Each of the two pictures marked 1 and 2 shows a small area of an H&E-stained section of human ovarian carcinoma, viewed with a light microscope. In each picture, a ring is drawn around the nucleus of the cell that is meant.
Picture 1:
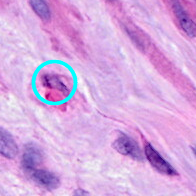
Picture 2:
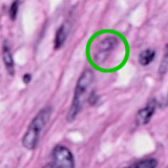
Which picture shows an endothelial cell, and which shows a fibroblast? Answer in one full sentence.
Picture 1 is of an endothelial cell, and picture 2 is of a fibroblast.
